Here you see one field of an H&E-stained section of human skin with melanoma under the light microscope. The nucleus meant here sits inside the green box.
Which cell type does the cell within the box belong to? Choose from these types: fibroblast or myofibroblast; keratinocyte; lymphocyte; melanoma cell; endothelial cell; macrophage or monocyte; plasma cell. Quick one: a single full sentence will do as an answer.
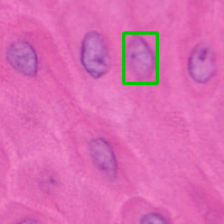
As classified here, the cell within the box is a keratinocyte.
